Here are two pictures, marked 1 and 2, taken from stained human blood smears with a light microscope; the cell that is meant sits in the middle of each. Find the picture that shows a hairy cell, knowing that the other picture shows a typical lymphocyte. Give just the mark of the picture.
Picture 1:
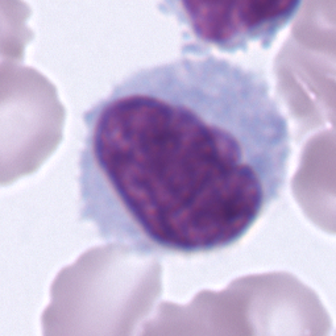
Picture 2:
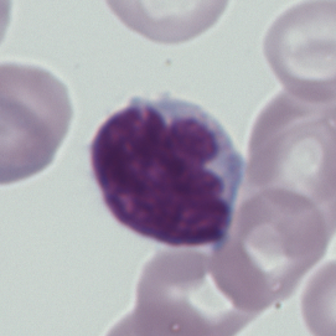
1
